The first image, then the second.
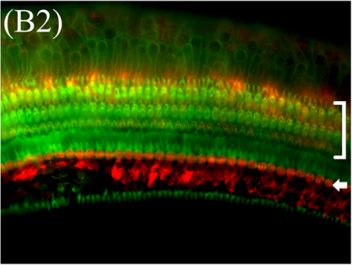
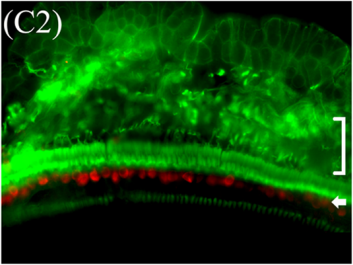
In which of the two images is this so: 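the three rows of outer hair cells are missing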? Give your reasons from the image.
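First image: three rows of red-yellow cells with green bundles fill the bracket. On this evidence: the second image.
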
